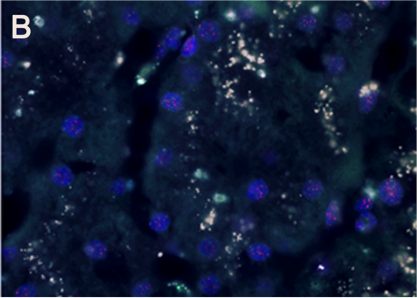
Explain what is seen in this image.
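Here again is a liver section in which the blue, rounded nuclei of hepatocytes are set in a wide, faintly greyish-blue field of cytoplasm. Dark, elongated gaps cross the field, running between groups of cells. Clustered bright white granules lie in the cytoplasm, outside the nuclei, gathered in patches in parts of the field. A few nuclei look smaller and more elongated than the round ones around them.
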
